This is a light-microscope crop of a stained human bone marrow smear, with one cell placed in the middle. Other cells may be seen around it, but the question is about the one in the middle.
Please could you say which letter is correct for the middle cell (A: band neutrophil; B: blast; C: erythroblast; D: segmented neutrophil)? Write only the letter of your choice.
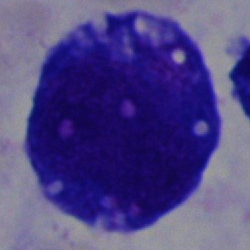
B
